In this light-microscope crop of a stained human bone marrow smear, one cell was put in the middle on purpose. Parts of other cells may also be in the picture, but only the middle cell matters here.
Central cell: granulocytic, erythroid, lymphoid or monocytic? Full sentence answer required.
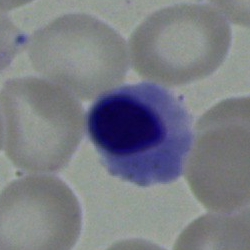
The cell centered in the crop is included in the erythroid lineage.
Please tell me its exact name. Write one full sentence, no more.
Standing at the centre of this crop is an erythroblast.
